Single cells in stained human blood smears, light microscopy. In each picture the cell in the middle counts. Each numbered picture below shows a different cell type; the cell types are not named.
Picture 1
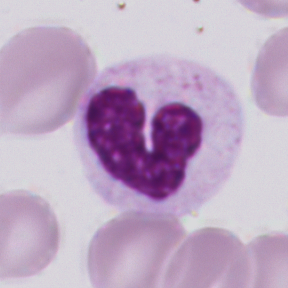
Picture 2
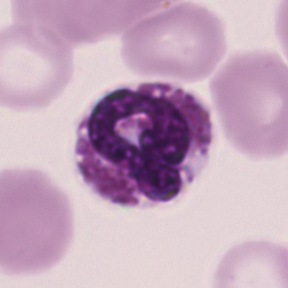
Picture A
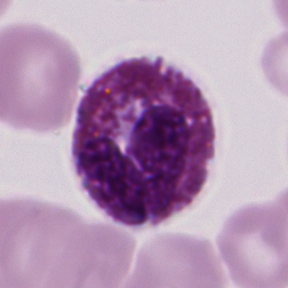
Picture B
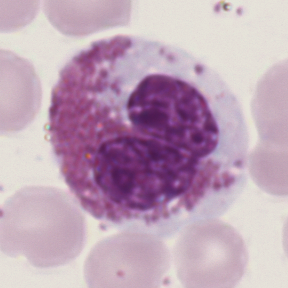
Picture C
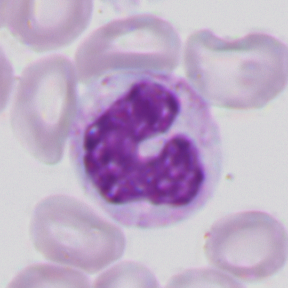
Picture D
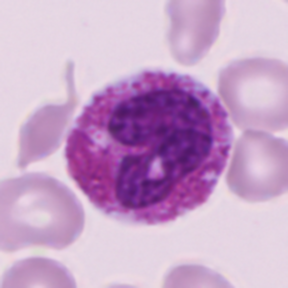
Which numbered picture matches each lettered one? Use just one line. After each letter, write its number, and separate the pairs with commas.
A 2, B 2, C 1, D 2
